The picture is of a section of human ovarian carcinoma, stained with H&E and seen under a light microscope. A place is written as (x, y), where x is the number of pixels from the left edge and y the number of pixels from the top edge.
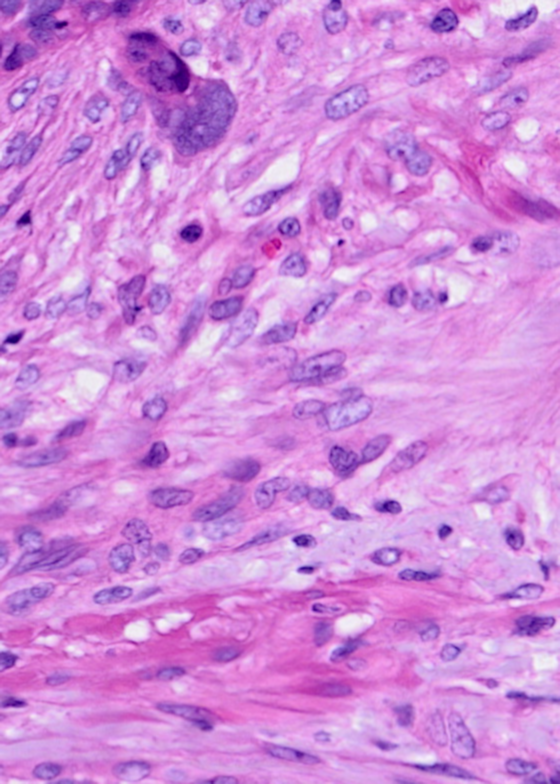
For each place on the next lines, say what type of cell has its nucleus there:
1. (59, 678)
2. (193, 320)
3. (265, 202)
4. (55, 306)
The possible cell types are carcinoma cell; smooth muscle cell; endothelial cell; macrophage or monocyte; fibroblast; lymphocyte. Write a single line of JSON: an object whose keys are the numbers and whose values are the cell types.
{"1": "smooth muscle cell", "2": "fibroblast", "3": "fibroblast", "4": "fibroblast"}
